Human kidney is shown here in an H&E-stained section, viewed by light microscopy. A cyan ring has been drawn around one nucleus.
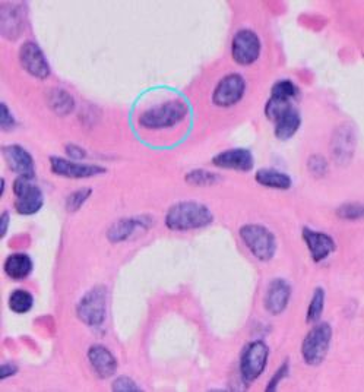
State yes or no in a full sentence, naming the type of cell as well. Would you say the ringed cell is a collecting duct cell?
No, kindly revise that, as the ringed cell is a loop of Henle or distal tubule cell rather than a collecting duct cell.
